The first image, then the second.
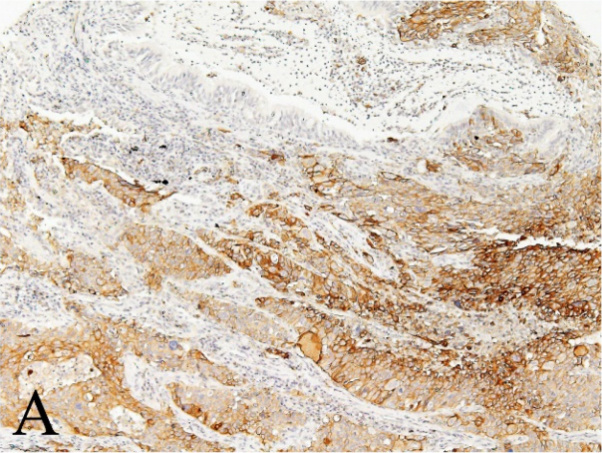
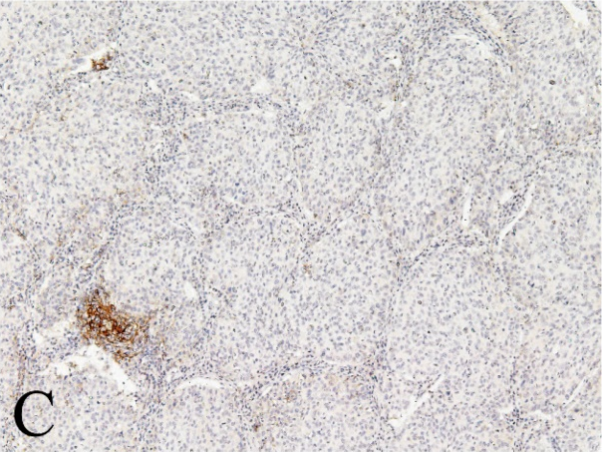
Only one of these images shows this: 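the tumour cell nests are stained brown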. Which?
The first image.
